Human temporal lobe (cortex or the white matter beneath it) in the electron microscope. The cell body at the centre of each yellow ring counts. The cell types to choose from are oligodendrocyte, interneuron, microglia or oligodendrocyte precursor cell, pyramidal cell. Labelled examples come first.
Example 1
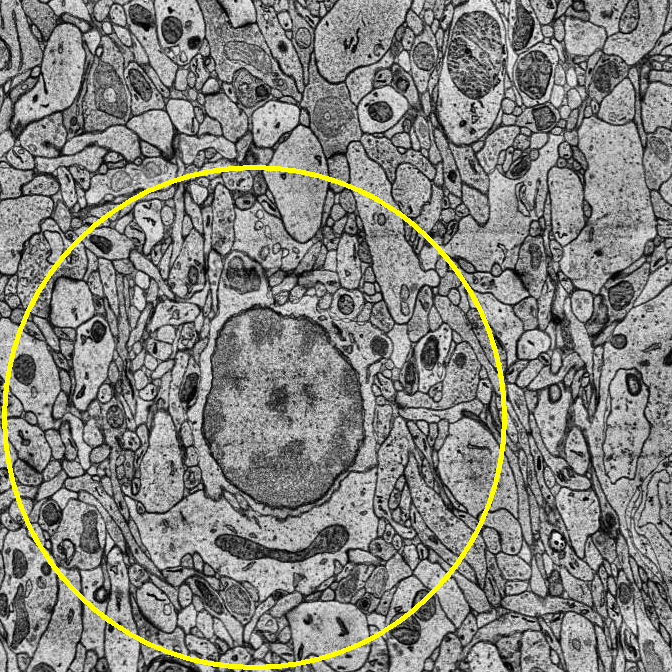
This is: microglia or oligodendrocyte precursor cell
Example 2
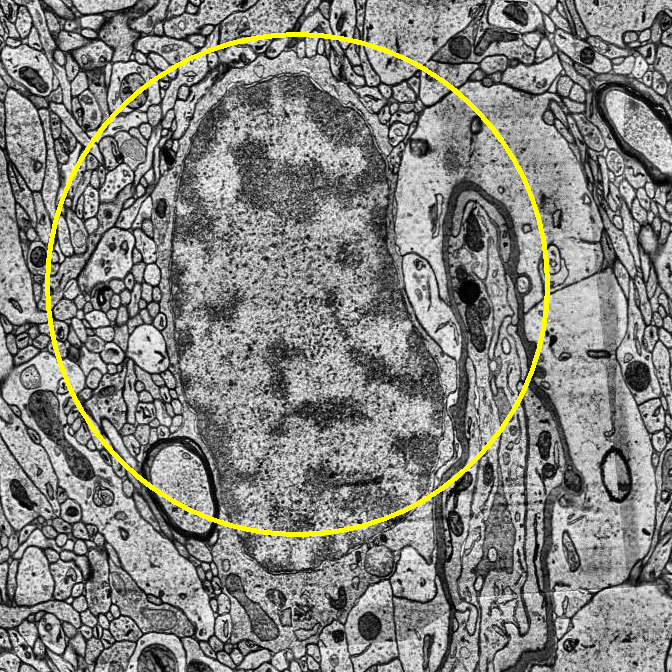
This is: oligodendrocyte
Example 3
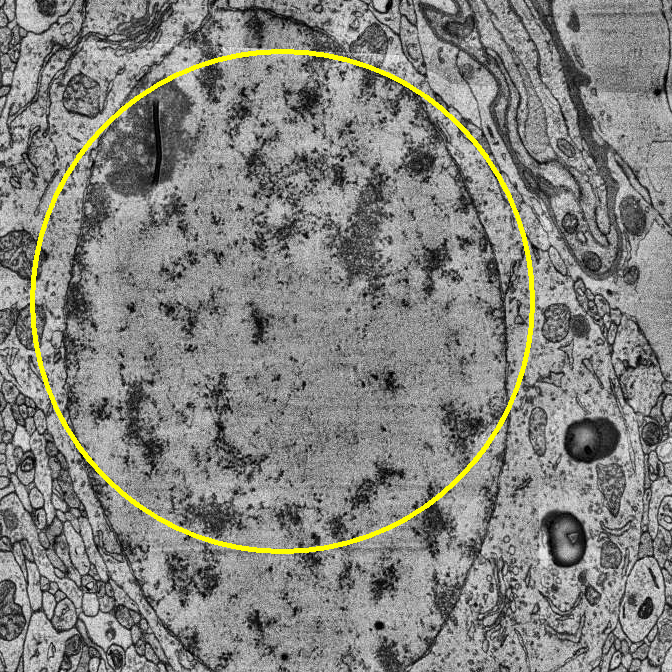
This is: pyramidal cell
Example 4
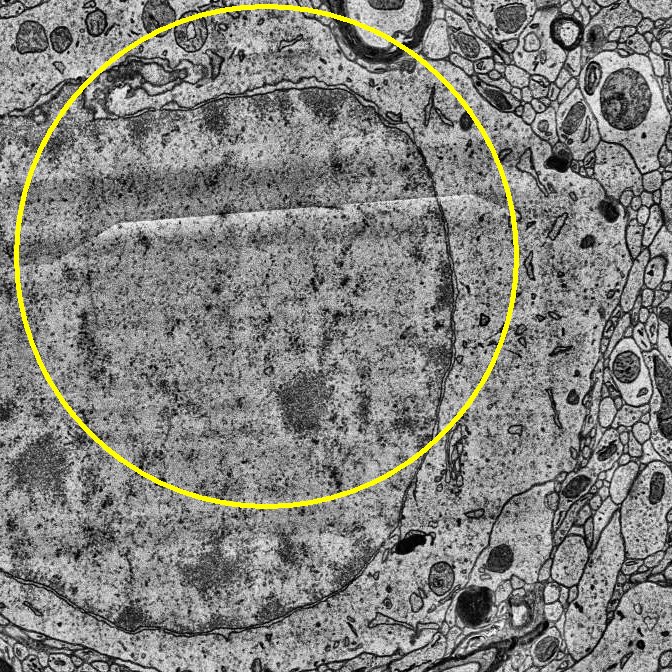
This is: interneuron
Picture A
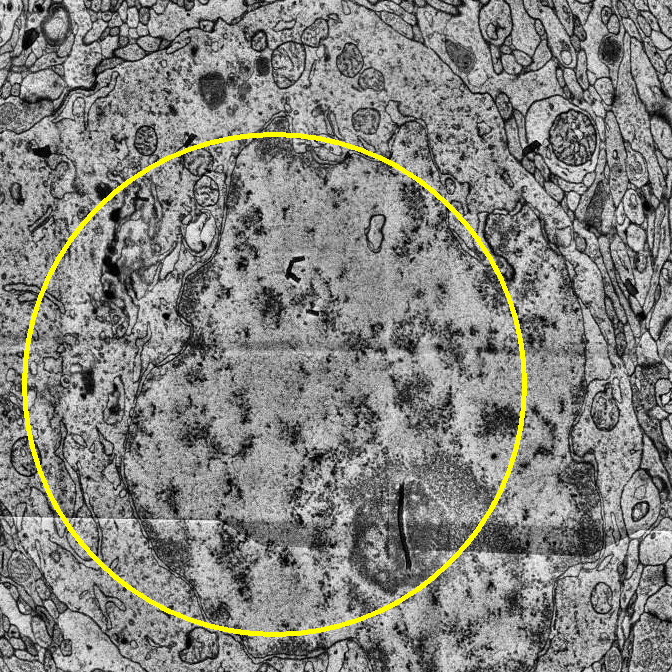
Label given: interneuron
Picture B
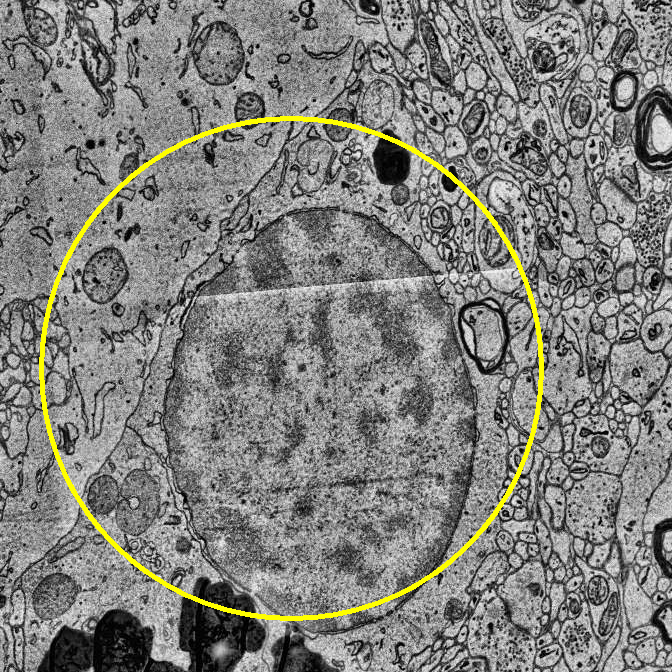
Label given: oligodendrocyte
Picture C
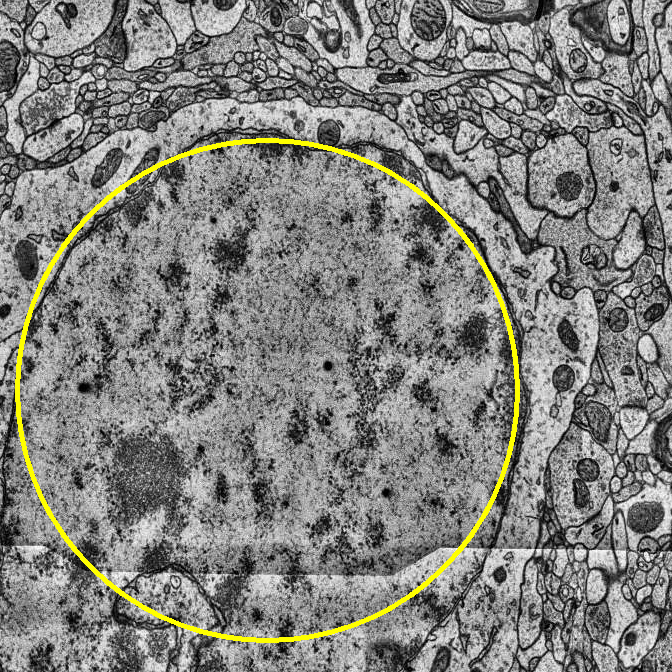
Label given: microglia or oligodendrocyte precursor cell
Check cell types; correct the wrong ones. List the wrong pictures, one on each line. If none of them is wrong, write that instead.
Wrong: C (microglia or oligodendrocyte precursor cell); correct: interneuron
